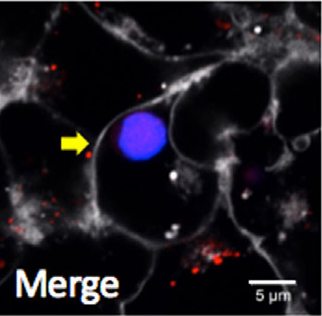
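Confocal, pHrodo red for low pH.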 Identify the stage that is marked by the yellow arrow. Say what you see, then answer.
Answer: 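Internalized dead cells. A round blue body lies inside the outline of a large cell.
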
